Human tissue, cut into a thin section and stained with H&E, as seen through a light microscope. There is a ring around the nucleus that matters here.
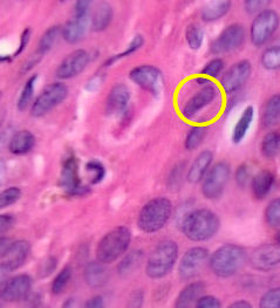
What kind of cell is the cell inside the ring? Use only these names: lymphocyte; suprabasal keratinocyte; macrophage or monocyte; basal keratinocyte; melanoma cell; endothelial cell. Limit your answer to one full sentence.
By its classification, the cell inside the ring is a basal keratinocyte.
